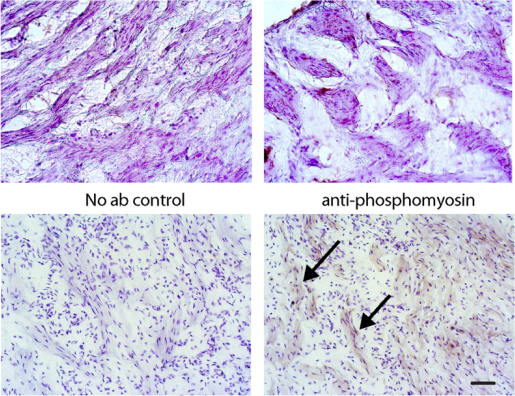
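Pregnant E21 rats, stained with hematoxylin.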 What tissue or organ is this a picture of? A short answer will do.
Uterine myometrium.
